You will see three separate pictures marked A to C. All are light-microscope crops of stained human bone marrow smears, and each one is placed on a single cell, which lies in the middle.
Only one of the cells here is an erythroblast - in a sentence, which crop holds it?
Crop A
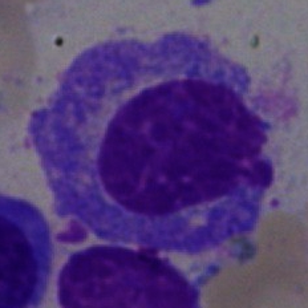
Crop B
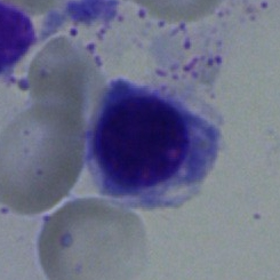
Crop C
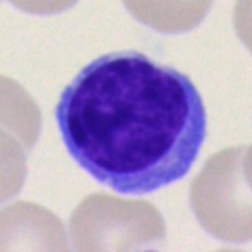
Of the crops shown, crop B depicts an erythroblast.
